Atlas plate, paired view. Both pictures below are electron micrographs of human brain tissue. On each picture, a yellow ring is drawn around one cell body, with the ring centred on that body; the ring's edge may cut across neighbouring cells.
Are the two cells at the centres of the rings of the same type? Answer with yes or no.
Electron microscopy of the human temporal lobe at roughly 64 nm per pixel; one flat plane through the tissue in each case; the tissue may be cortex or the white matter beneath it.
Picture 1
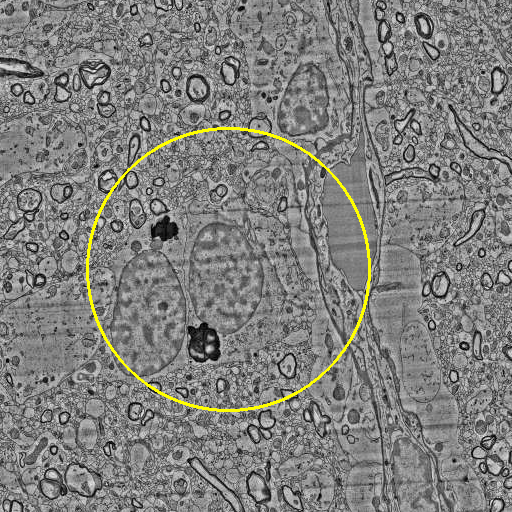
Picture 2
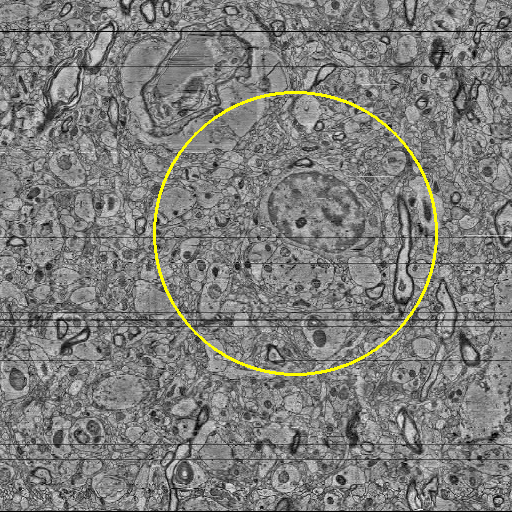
yes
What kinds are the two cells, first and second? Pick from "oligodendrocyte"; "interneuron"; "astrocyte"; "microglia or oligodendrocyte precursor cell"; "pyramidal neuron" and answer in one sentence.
Each cell, in the first picture and the second, is an oligodendrocyte.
